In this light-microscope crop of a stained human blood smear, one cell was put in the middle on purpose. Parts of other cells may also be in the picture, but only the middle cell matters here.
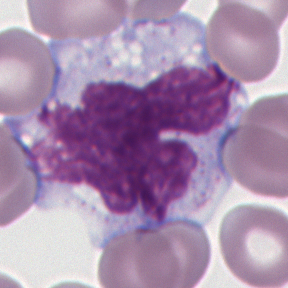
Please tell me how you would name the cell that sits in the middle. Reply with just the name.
monocyte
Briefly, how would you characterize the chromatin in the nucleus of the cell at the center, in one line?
The chromatin is delicate and fine, lacking coarse clumping entirely.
